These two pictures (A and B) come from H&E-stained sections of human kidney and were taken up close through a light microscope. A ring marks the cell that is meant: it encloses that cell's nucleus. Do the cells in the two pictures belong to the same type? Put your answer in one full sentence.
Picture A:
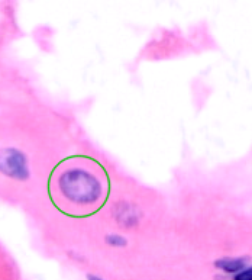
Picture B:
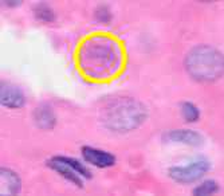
No. Picture A shows a proximal tubule cell, but picture B shows a “loop of Henle or distal tubule cell”.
